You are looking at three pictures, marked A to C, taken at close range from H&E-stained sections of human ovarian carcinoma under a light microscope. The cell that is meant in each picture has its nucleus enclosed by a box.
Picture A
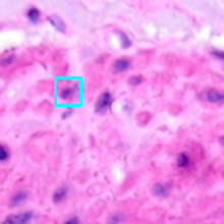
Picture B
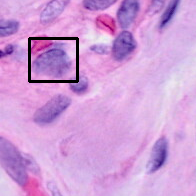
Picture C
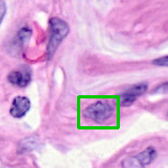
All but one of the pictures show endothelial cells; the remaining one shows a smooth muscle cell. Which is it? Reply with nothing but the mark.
A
